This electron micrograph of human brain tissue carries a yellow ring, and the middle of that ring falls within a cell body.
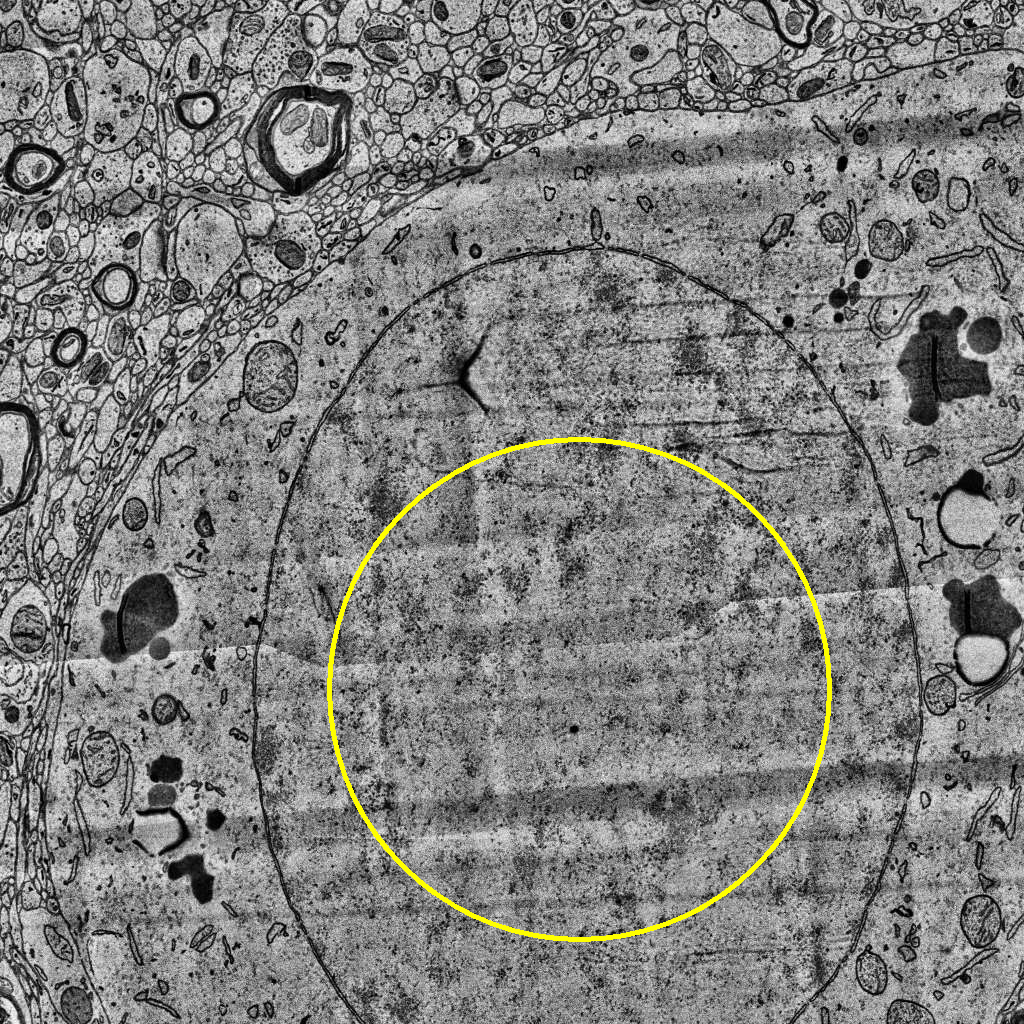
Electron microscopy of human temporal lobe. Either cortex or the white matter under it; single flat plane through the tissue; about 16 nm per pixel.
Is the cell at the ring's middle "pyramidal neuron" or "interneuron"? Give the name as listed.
pyramidal neuron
